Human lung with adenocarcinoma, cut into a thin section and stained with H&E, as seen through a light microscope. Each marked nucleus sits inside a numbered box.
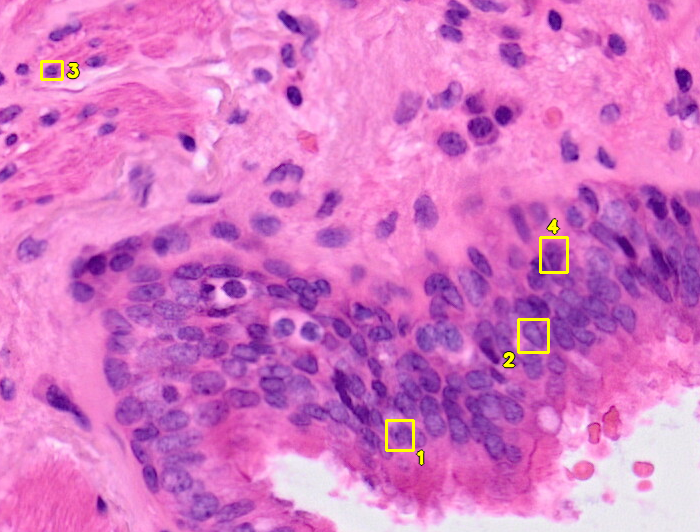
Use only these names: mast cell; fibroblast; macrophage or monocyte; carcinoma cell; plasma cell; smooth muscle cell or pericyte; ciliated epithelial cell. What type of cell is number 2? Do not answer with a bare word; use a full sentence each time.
The numbered cell 2 in this field is a ciliated epithelial cell.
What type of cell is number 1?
The mark numbered 1 indicates the nucleus of a ciliated epithelial cell.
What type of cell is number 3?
Among the marked cells, number 3 is a smooth muscle cell or pericyte.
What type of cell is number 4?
The numbered cell 4 in this field is a ciliated epithelial cell.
